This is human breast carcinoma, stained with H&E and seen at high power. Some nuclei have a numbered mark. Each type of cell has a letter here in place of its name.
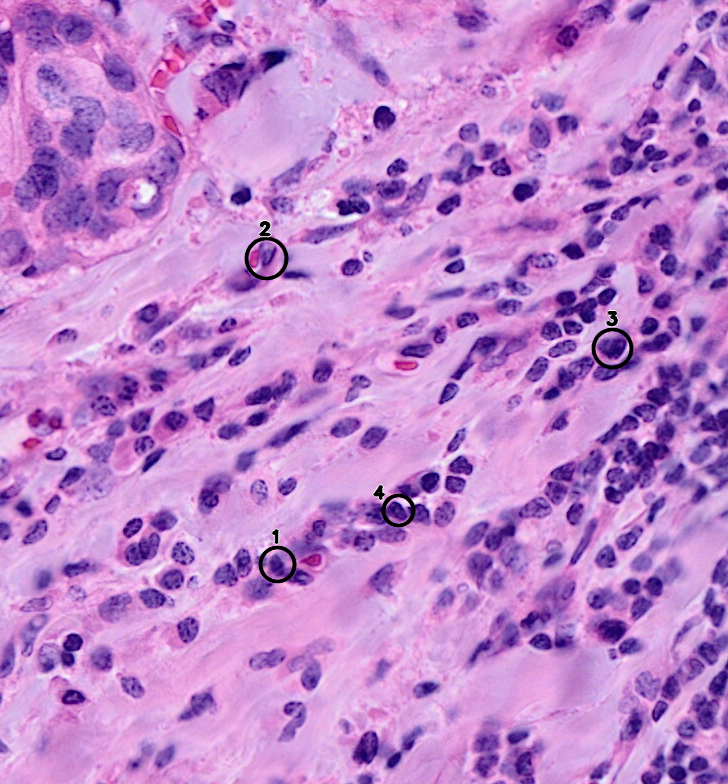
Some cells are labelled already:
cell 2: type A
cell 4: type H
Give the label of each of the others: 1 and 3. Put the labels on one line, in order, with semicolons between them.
type H; type H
